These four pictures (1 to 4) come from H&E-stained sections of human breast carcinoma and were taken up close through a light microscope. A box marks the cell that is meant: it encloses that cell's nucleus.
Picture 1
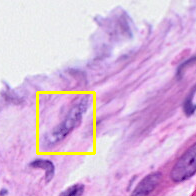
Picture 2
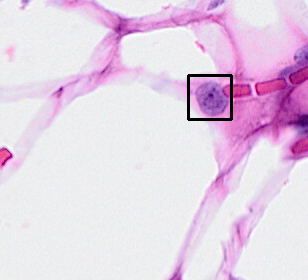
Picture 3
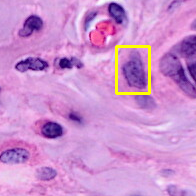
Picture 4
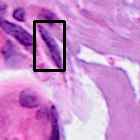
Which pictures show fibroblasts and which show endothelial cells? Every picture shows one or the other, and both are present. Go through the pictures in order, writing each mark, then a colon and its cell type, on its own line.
1: fibroblast
2: endothelial cell
3: endothelial cell
4: fibroblast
